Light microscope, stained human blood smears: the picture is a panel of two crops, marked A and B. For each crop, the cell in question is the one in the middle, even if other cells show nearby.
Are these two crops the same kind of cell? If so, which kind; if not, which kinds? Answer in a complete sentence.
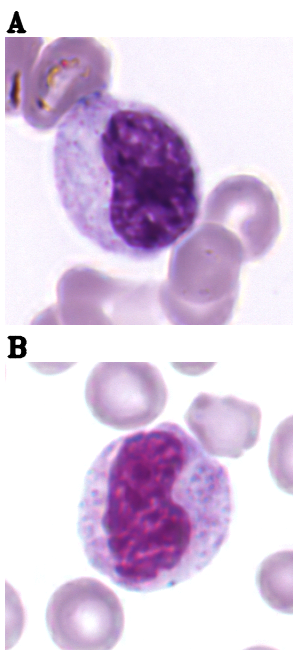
Yes, both crops in this set show metamyelocytes.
